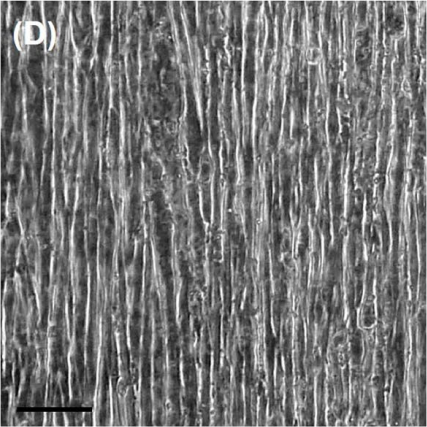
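Long, slender tubular structures fill the whole field and run in parallel from top to bottom, packed densely side by side. Their margins appear as bright, thin lines, while the spaces between and behind them are darker and mottled. Some tubes taper or overlap their neighbours, but almost all share the same vertical orientation, giving the sheet a strongly aligned, fibrous texture without visible crossing fibers.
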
